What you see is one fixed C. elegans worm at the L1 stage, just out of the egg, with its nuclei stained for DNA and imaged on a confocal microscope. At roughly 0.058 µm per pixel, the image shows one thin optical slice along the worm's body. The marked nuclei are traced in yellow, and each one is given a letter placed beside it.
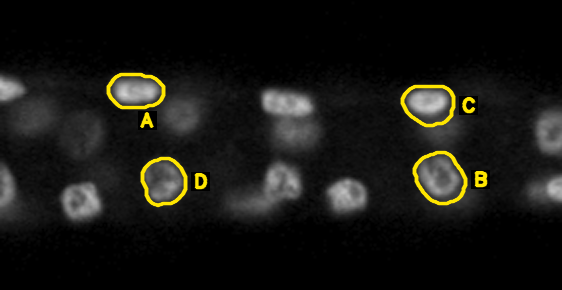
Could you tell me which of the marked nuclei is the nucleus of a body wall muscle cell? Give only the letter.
A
